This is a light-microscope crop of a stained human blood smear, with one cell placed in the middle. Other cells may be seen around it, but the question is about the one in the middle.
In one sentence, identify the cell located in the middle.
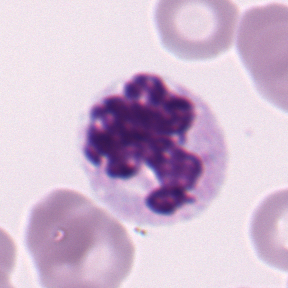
This crop is built around a segmented neutrophil at its centre.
